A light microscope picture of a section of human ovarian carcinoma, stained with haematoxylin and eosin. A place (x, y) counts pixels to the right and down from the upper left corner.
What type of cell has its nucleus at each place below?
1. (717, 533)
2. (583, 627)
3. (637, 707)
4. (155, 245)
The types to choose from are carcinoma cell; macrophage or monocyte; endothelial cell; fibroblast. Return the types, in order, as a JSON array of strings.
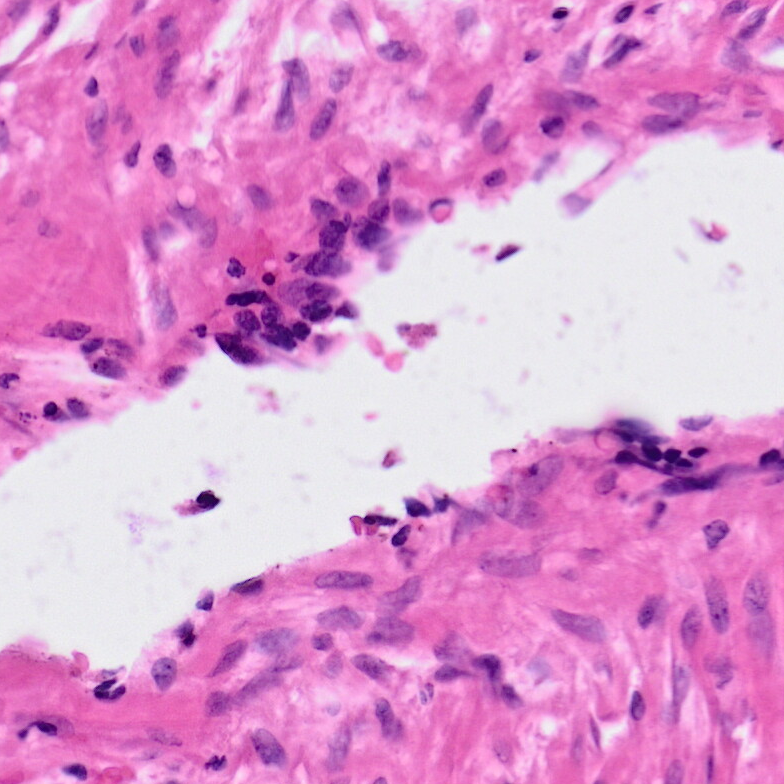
["macrophage or monocyte", "fibroblast", "fibroblast", "fibroblast"]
